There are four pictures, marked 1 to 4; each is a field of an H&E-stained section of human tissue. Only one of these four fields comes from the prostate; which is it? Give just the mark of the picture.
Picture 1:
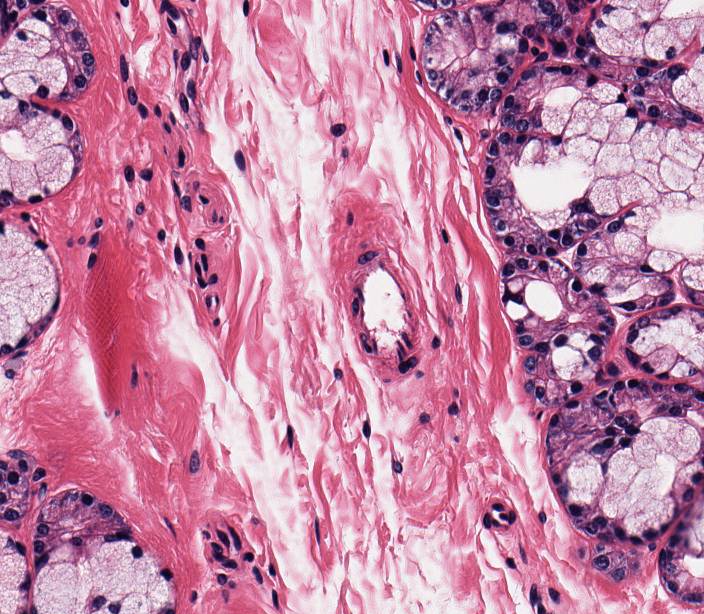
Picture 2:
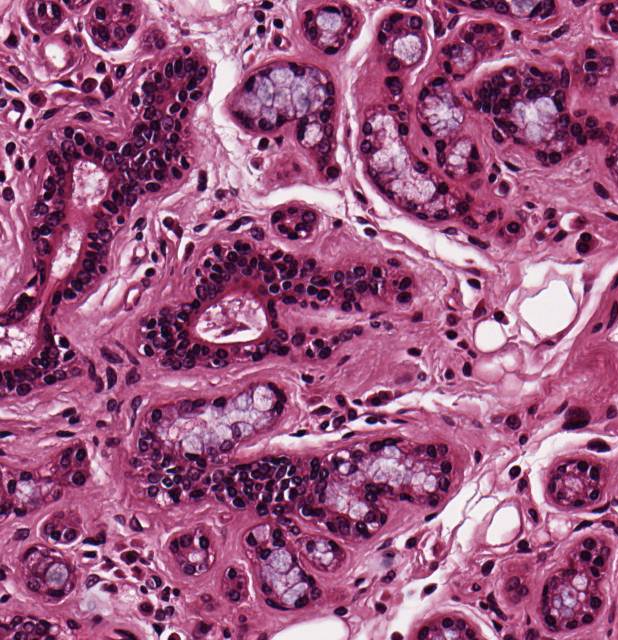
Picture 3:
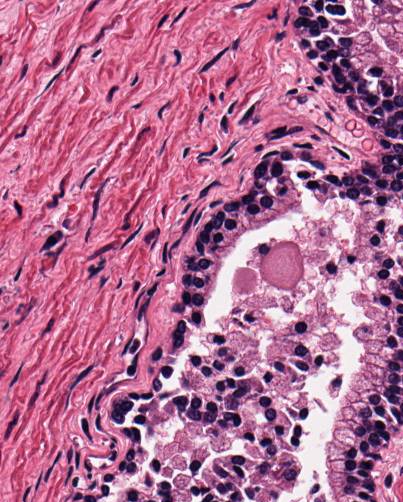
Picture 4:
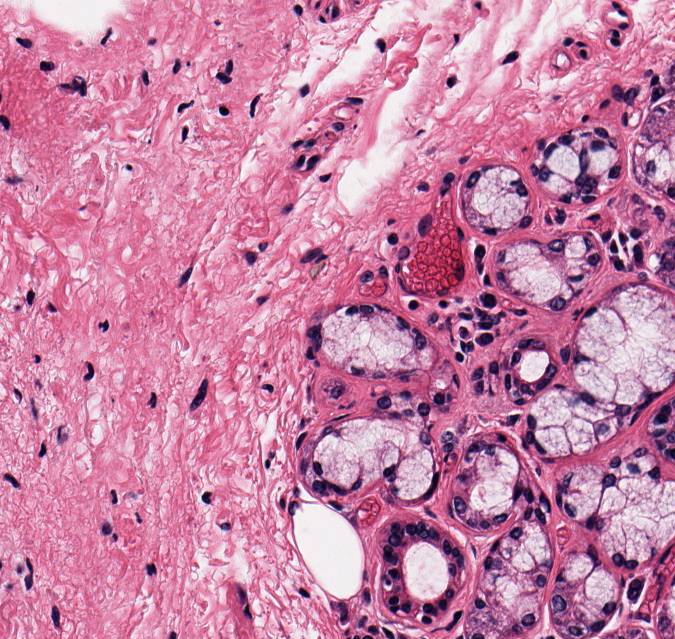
3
